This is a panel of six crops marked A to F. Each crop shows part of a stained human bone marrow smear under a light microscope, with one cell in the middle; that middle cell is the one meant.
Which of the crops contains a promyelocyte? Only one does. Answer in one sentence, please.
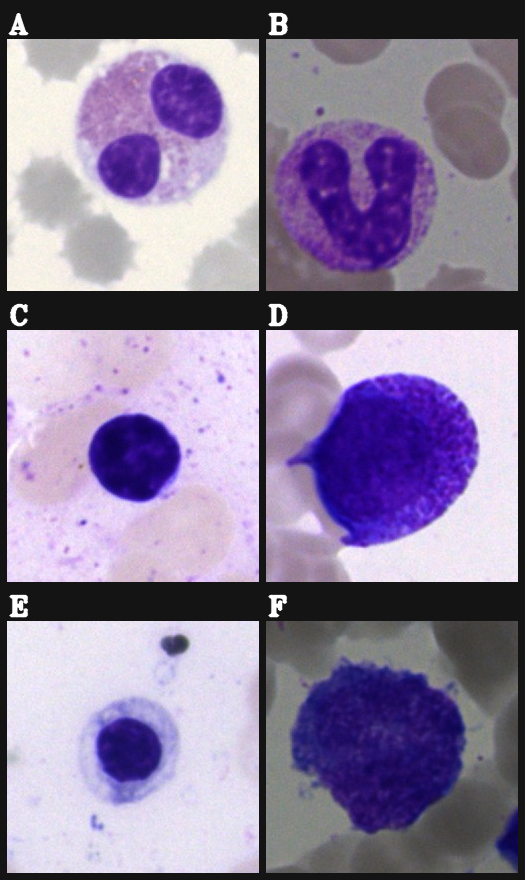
The crop with a promyelocyte at its center is crop D.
